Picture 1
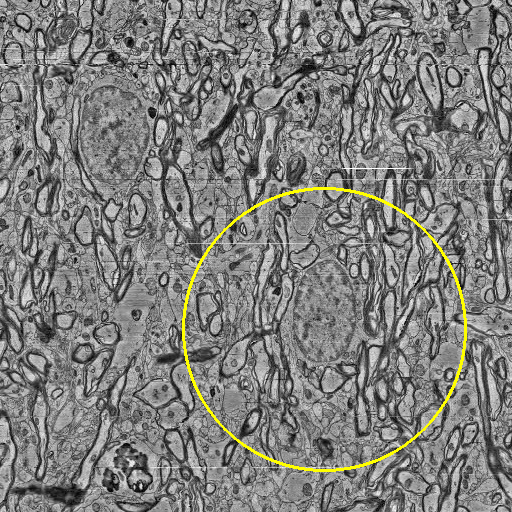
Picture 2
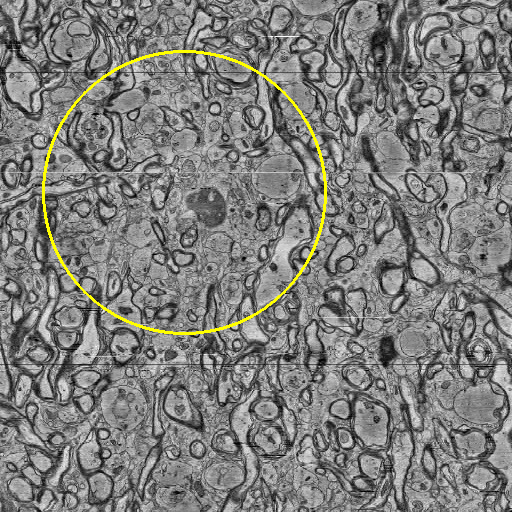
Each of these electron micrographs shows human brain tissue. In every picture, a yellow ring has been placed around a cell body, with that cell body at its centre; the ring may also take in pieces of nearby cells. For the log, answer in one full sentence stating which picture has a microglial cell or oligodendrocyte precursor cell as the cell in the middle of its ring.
In picture 2, the cell at the centre of the yellow ring is the requested one.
